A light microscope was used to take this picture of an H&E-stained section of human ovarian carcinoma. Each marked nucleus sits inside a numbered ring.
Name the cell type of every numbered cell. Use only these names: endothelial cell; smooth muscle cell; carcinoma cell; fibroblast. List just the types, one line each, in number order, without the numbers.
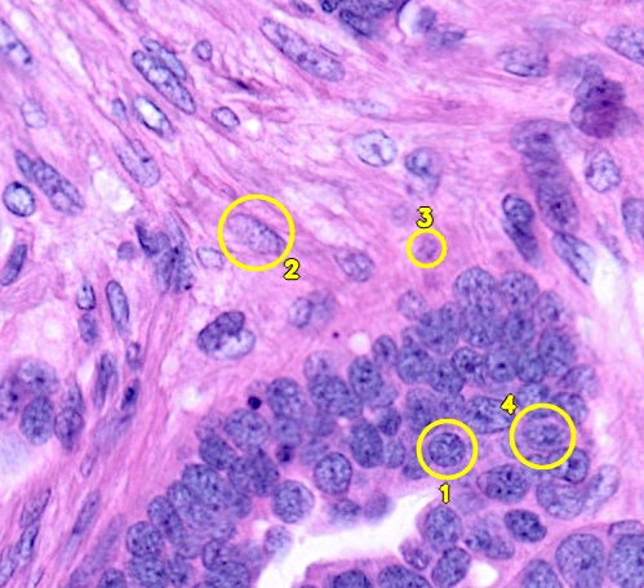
carcinoma cell
fibroblast
fibroblast
carcinoma cell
